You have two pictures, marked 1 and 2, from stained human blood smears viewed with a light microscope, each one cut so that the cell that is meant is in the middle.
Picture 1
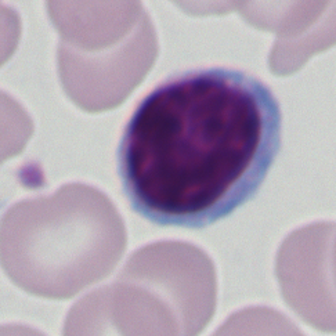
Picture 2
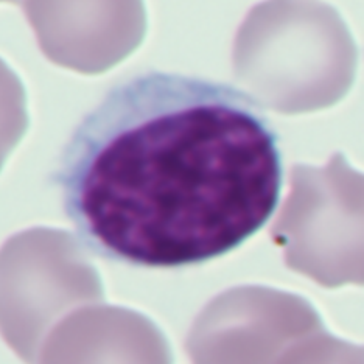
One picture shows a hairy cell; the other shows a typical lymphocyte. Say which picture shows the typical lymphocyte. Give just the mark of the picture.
1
